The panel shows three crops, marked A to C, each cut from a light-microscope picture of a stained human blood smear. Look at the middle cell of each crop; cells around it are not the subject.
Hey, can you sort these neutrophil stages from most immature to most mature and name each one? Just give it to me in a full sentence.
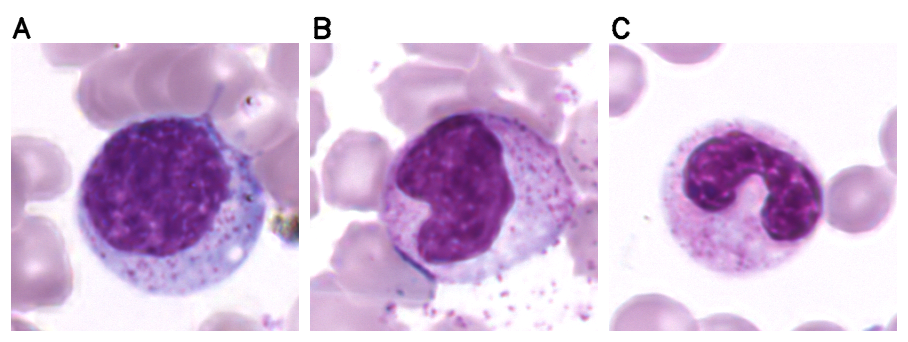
From least mature through to most mature, the order is crop A (a promyelocyte), crop B (a metamyelocyte) and crop C (a band neutrophil).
